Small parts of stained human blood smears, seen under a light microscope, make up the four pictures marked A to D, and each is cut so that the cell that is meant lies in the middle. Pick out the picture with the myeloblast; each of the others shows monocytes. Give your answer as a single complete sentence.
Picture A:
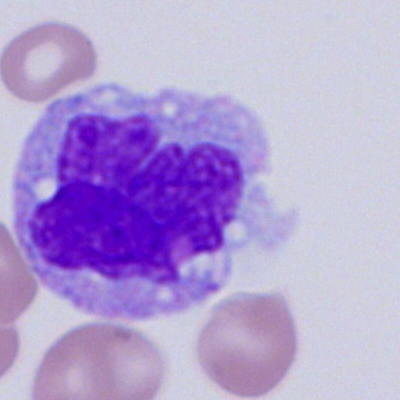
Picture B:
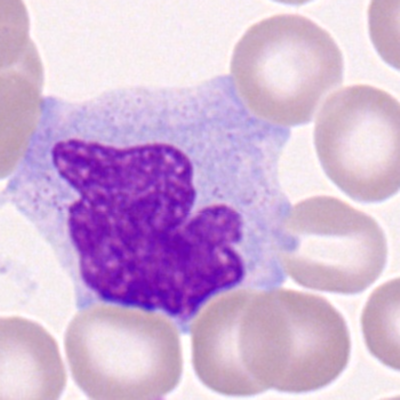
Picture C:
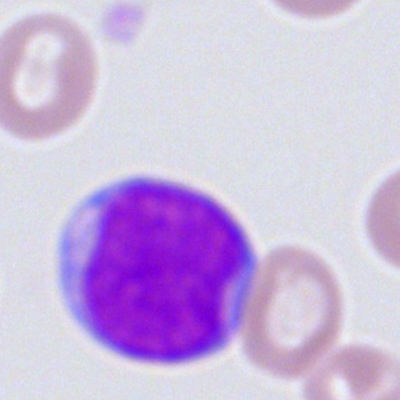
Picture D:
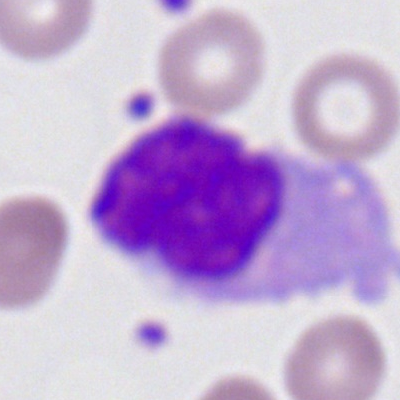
The picture with the myeloblast is C.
